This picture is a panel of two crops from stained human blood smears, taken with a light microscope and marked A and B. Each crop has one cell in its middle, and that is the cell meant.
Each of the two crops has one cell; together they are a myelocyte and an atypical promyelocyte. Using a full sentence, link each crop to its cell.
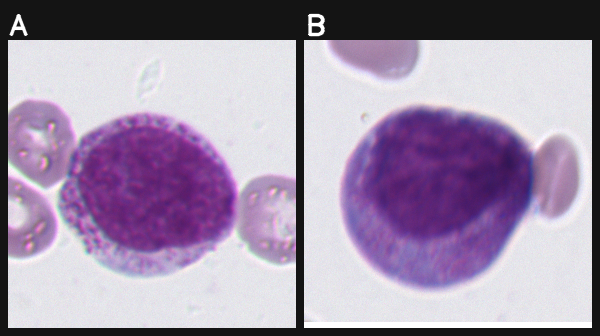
Crop A is occupied by a myelocyte, and crop B is occupied by an atypical promyelocyte.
